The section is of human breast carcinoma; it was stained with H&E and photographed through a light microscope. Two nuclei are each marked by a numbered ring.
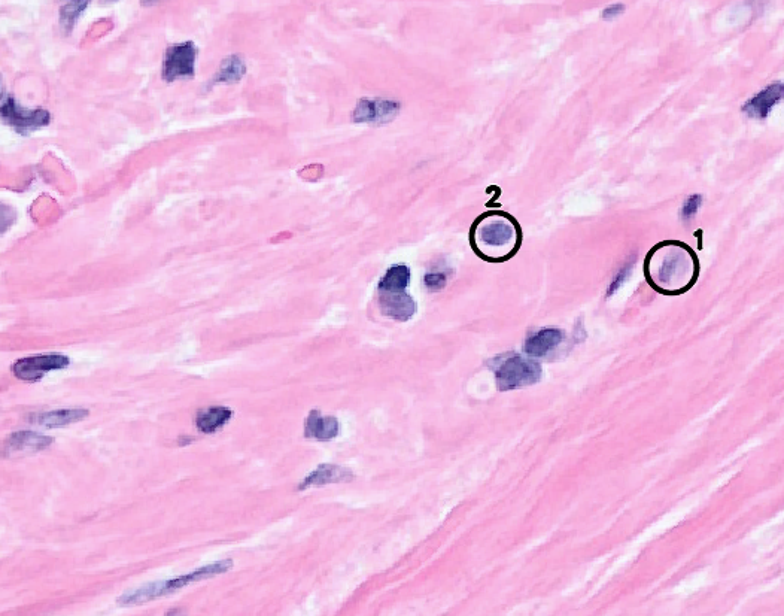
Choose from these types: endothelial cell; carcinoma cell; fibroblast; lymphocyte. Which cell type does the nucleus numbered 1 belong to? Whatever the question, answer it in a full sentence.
The cell with the number 1 is an endothelial cell.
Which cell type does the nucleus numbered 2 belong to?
To a lymphocyte belongs the nucleus marked 2.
